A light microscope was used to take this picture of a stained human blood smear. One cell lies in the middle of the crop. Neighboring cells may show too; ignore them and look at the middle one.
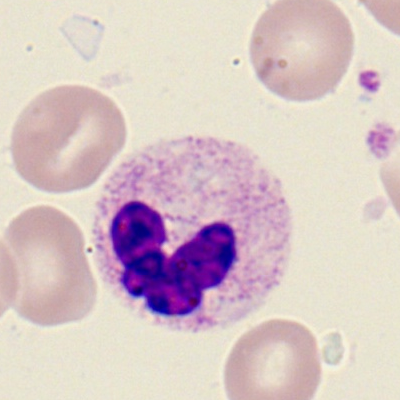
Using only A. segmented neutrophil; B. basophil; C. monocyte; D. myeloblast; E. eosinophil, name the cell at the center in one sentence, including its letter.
The cell at the heart of the crop is a segmented neutrophil, so choose option A.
